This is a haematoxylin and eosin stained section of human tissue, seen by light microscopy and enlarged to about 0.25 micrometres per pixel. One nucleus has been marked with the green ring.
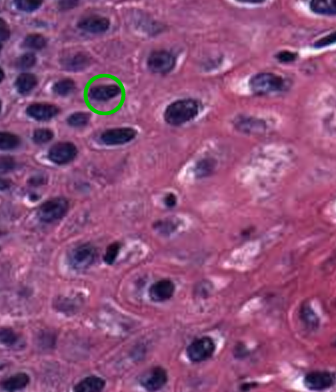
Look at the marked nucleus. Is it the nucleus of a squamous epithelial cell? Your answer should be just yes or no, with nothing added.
yes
